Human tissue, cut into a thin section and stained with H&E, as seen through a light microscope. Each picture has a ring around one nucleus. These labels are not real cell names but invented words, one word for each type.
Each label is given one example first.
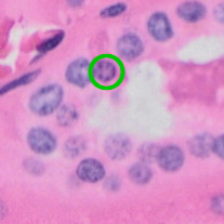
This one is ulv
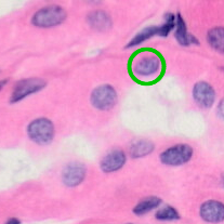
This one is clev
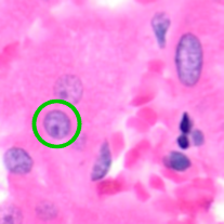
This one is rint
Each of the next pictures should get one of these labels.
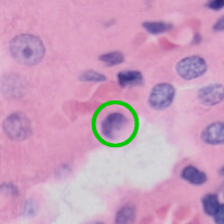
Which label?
clev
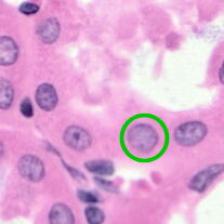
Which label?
rint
